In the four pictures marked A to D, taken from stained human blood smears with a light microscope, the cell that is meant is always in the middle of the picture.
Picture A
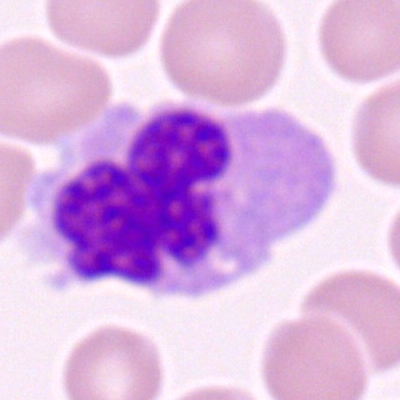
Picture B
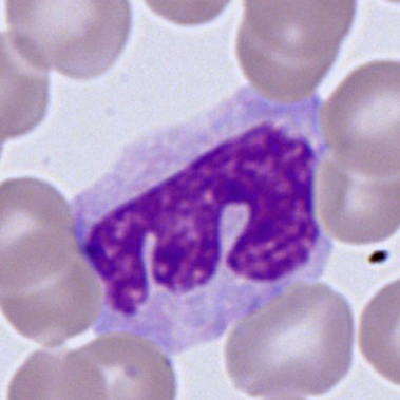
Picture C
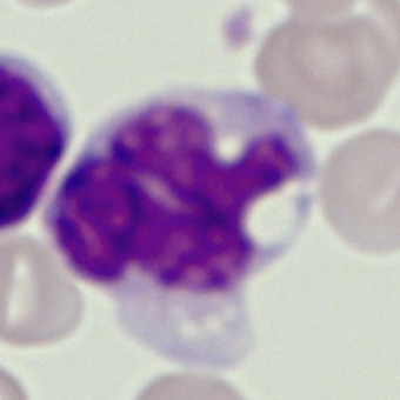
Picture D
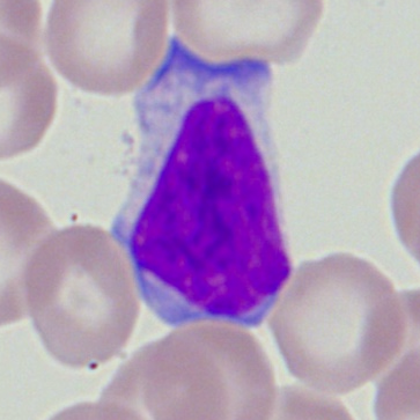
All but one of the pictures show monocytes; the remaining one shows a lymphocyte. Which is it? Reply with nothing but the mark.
D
